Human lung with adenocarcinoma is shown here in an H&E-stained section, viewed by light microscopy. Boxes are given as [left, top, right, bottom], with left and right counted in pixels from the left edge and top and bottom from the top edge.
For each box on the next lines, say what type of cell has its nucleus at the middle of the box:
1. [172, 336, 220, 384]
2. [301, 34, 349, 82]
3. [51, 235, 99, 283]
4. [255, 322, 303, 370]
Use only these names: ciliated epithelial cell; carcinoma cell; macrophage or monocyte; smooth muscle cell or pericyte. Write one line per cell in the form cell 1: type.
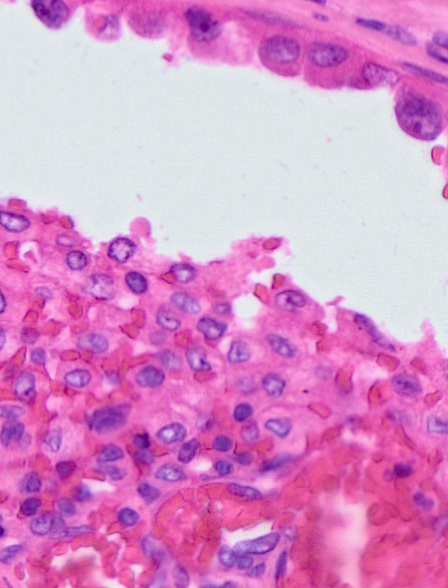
cell 1: macrophage or monocyte
cell 2: carcinoma cell
cell 3: macrophage or monocyte
cell 4: macrophage or monocyte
